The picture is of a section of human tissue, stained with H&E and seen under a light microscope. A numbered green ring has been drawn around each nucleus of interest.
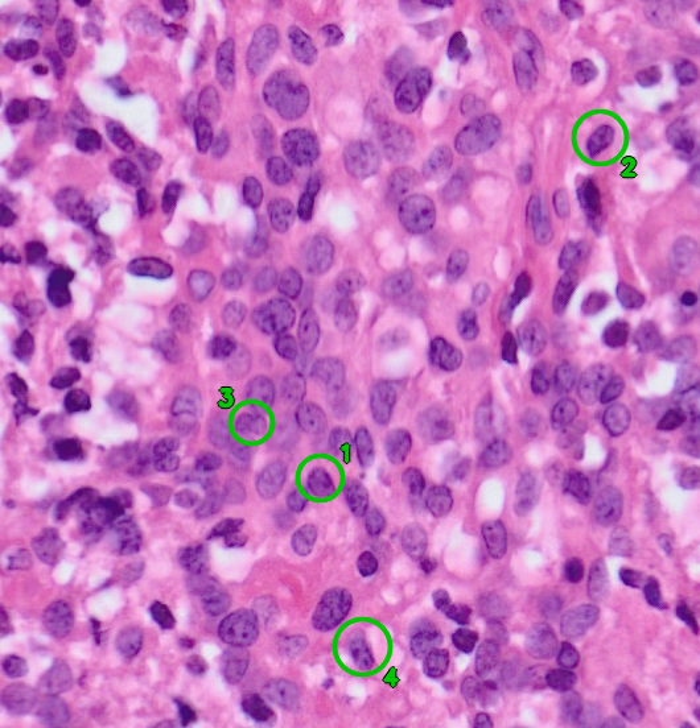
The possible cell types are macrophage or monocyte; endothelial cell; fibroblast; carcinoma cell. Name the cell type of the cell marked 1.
carcinoma cell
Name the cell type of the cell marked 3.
carcinoma cell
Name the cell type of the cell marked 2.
macrophage or monocyte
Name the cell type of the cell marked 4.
macrophage or monocyte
